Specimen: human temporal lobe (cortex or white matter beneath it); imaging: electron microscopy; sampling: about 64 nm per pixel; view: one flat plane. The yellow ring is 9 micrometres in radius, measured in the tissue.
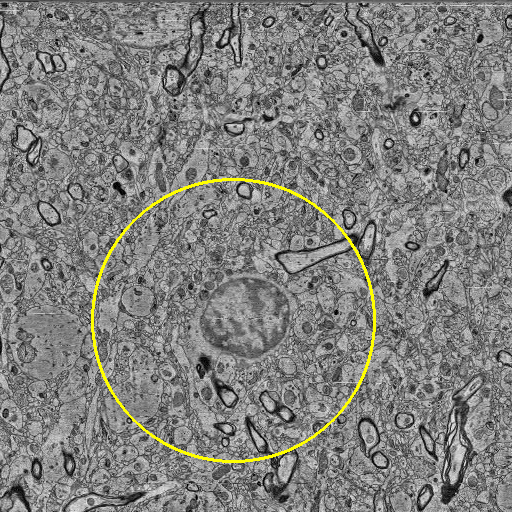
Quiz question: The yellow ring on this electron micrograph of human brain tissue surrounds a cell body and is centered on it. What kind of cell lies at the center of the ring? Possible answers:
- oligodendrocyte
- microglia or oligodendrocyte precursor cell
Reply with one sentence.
The ring's center lies on an oligodendrocyte.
